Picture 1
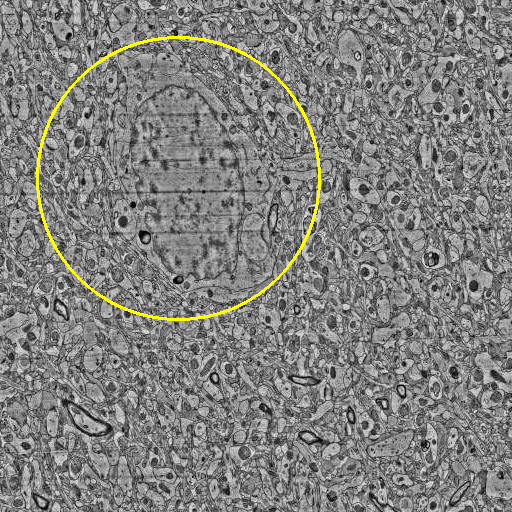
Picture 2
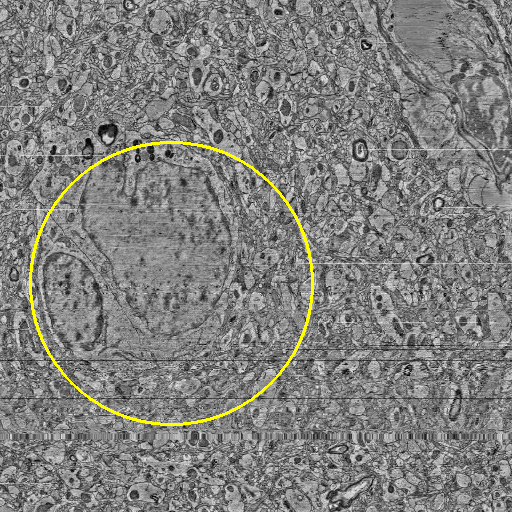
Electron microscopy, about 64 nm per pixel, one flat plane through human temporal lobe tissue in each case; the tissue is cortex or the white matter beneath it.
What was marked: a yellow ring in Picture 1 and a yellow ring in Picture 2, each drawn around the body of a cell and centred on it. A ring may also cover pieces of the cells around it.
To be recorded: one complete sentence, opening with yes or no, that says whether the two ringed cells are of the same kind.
Yes, the two ringed cells are of the same kind.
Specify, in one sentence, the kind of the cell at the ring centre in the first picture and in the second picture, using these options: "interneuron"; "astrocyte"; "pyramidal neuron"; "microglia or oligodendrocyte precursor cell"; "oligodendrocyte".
The first and the second cell are each an interneuron.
